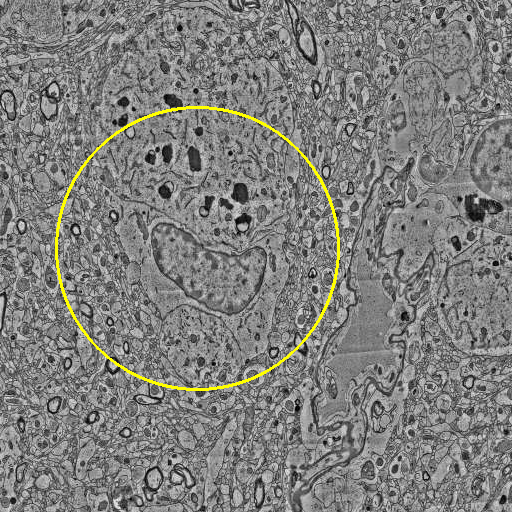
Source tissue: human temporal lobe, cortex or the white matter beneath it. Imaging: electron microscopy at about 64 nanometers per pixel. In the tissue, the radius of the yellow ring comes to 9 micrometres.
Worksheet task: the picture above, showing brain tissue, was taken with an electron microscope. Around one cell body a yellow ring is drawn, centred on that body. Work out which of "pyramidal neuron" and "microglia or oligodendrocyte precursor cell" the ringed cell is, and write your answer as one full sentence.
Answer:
It is a microglial cell or oligodendrocyte precursor cell whose cell body lies at the centre of the yellow ring.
